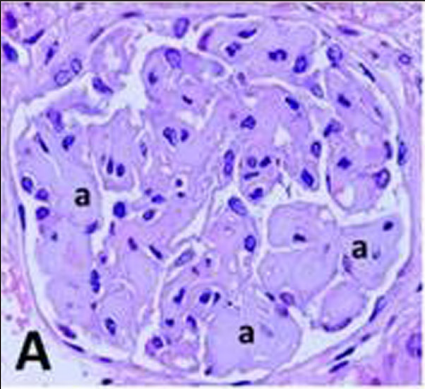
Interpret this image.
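This is a glomerulus whose tuft is filled with pale pink, glassy, featureless material. The material expands the capillary walls and fills the capillary lumens, so the loops look thick and solid rather than open. Around the tuft the urinary space is still visible as a thin clear rim inside the capsule. The amorphous, acellular look of the deposits is what sets them apart from ordinary scarring or cell crowding.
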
